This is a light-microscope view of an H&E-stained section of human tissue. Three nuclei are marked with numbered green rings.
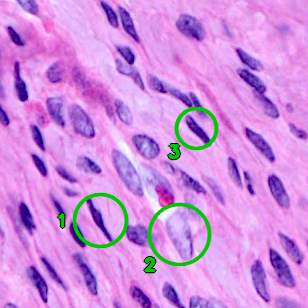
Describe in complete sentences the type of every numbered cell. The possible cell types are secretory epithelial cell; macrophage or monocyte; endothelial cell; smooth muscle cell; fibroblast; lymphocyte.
Cell 1 is a fibroblast, cell 2 is an endothelial cell and cell 3 is a fibroblast.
